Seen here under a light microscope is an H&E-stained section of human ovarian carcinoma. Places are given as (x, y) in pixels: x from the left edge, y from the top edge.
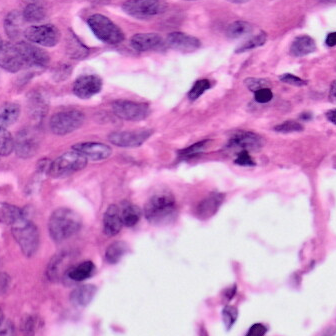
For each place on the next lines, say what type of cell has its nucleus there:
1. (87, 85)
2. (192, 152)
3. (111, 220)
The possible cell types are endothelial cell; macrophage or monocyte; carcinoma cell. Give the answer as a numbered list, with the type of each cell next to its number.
1. macrophage or monocyte
2. endothelial cell
3. carcinoma cell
